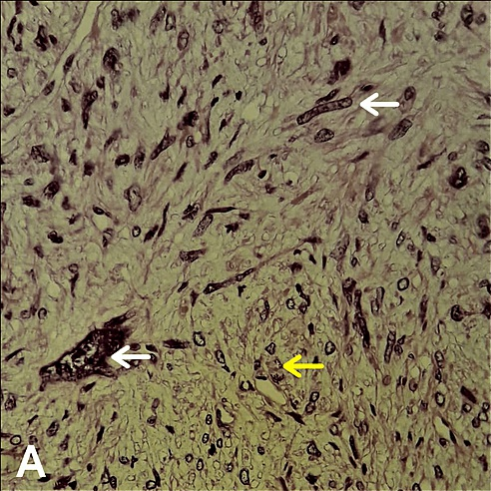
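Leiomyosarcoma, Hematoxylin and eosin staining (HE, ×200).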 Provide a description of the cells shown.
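The nuclei vary considerably in size and depth of staining, and some are markedly enlarged, dark and irregular in outline. One nucleus in the lower left is a dense, irregular dark mass far bigger than its neighbours. Between the cells the matrix is pale and finely fibrillar.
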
